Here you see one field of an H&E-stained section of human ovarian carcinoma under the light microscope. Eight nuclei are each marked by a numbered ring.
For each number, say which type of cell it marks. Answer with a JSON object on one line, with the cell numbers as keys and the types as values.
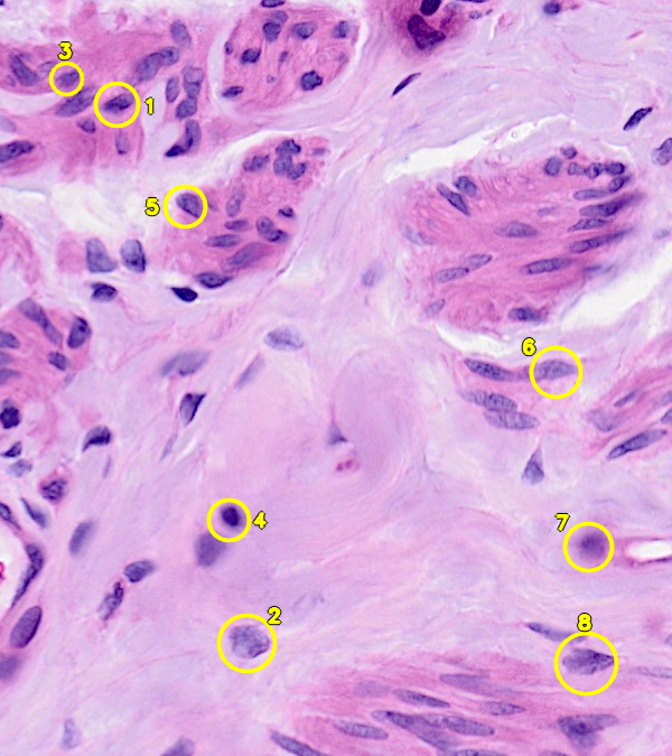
{"1": "smooth muscle cell", "2": "fibroblast", "3": "smooth muscle cell", "4": "lymphocyte", "5": "smooth muscle cell", "6": "smooth muscle cell", "7": "endothelial cell", "8": "fibroblast"}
